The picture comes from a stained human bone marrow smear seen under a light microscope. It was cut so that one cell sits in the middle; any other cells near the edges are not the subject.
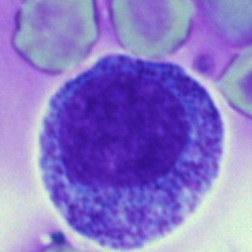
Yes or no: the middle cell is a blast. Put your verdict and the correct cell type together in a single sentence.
No, the centre cell counts as a promyelocyte, not as a blast.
